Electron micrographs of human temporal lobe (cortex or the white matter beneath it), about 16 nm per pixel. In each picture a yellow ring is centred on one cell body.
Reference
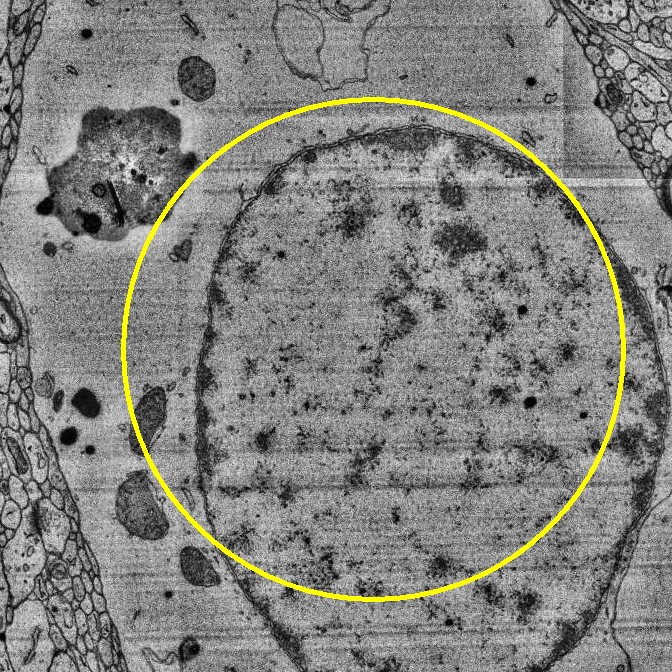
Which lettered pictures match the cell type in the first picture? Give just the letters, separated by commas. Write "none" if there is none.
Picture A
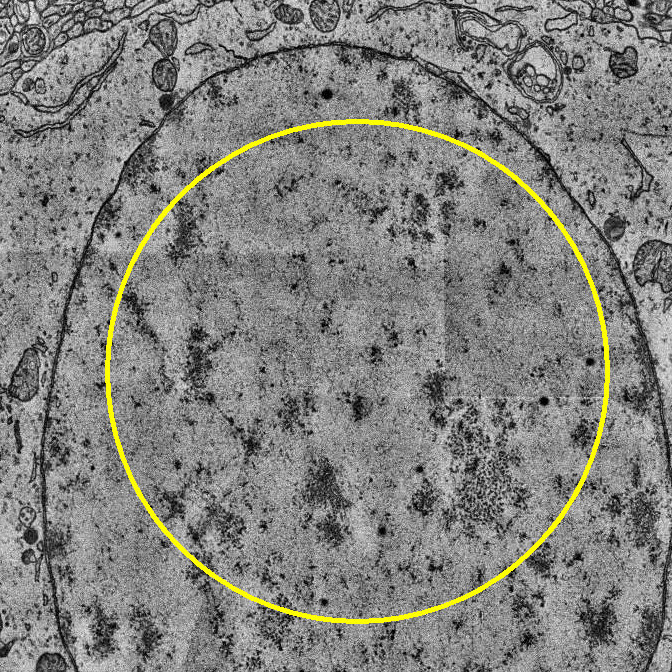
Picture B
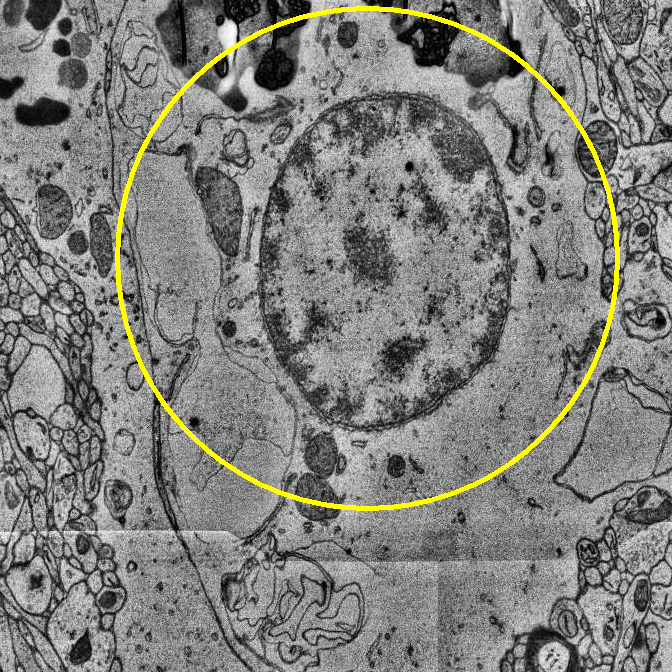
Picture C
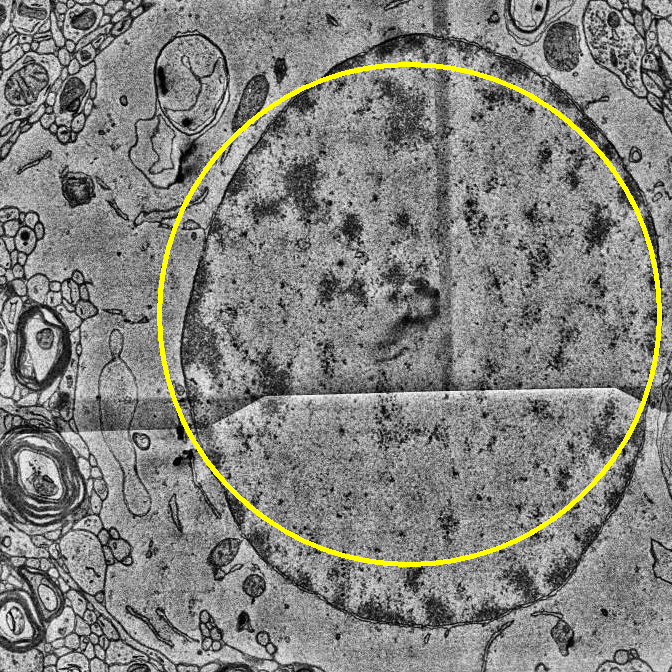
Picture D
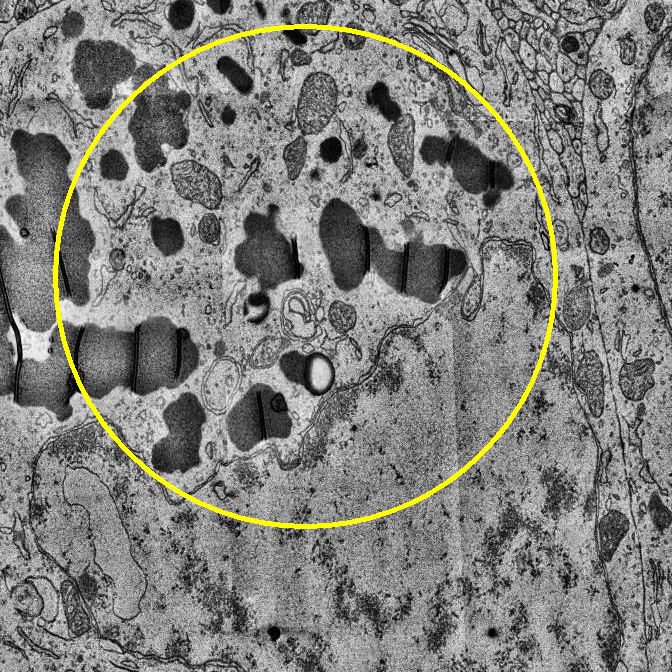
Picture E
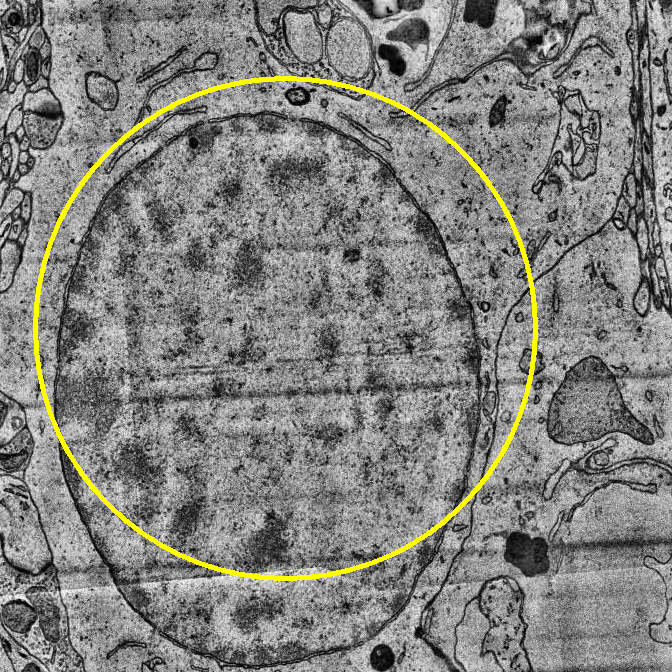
B, C, E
